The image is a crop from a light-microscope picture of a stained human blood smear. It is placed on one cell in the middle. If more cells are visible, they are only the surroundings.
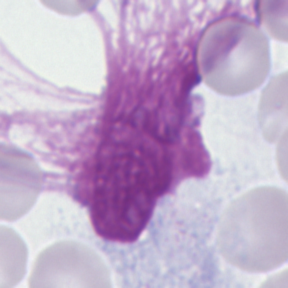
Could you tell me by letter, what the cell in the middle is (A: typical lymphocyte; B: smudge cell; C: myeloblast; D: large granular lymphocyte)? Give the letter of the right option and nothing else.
B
